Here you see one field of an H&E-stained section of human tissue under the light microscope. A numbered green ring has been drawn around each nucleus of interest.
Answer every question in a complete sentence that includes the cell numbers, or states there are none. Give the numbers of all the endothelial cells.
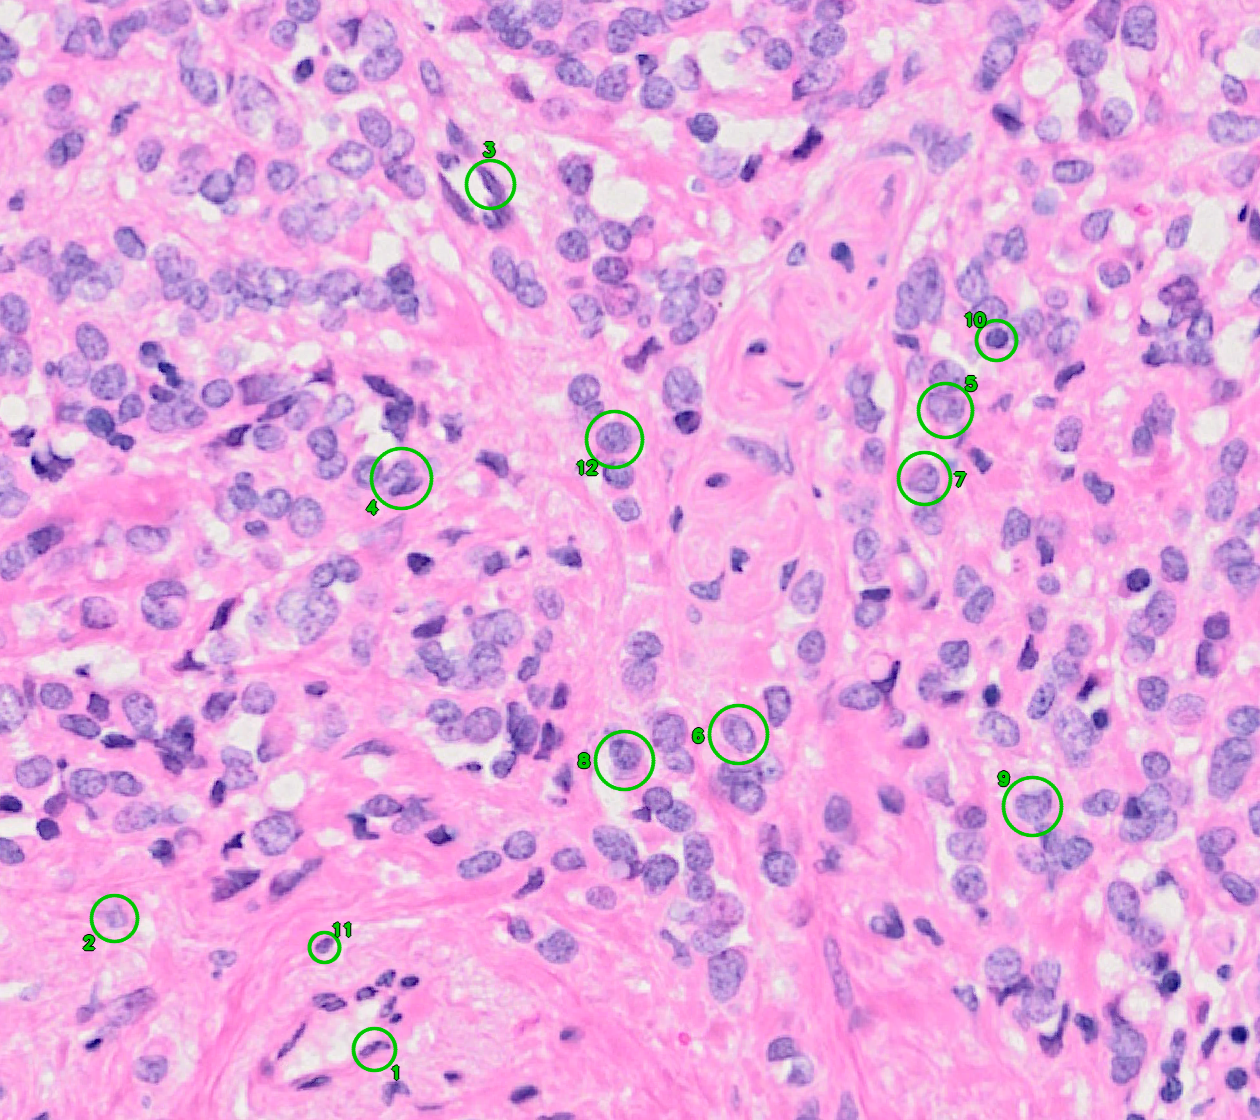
Each of the cells numbered 1 and 3 is among the endothelial cells.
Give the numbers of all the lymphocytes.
In short, the numbered cells 10 and 11 are lymphocytes.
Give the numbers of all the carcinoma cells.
As for the cells numbered 4, 5, 6, 7, 8, 9 and 12, they are carcinoma cells.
